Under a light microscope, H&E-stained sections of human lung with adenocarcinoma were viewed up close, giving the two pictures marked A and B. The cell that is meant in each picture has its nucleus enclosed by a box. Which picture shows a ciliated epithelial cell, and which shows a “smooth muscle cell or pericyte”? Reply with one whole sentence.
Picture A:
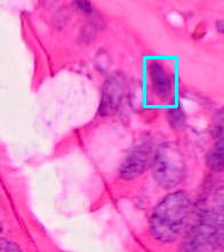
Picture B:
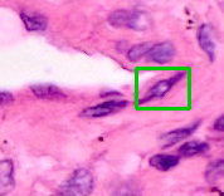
Picture B shows a “smooth muscle cell or pericyte”, while picture A shows a ciliated epithelial cell.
